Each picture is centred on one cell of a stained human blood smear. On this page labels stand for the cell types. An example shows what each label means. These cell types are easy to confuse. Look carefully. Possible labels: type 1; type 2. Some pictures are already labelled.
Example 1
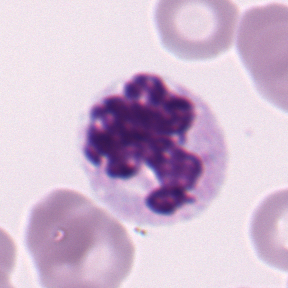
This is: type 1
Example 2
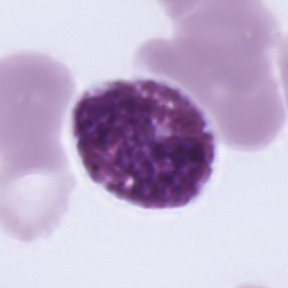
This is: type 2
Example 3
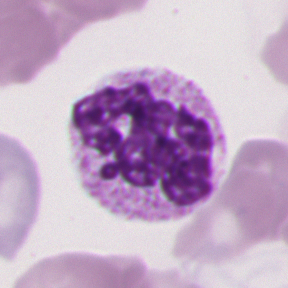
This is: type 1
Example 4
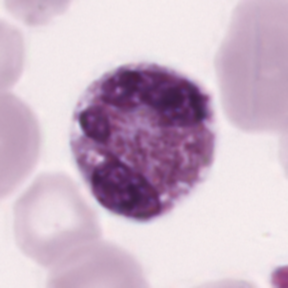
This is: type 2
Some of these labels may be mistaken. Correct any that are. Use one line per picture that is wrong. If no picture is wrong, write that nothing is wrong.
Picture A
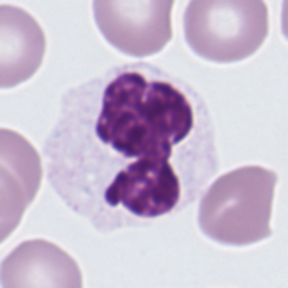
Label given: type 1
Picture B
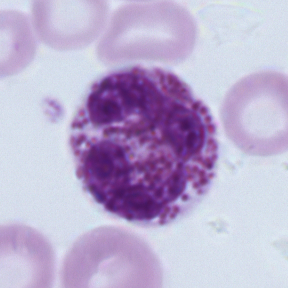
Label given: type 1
B should be type 2, not type 1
